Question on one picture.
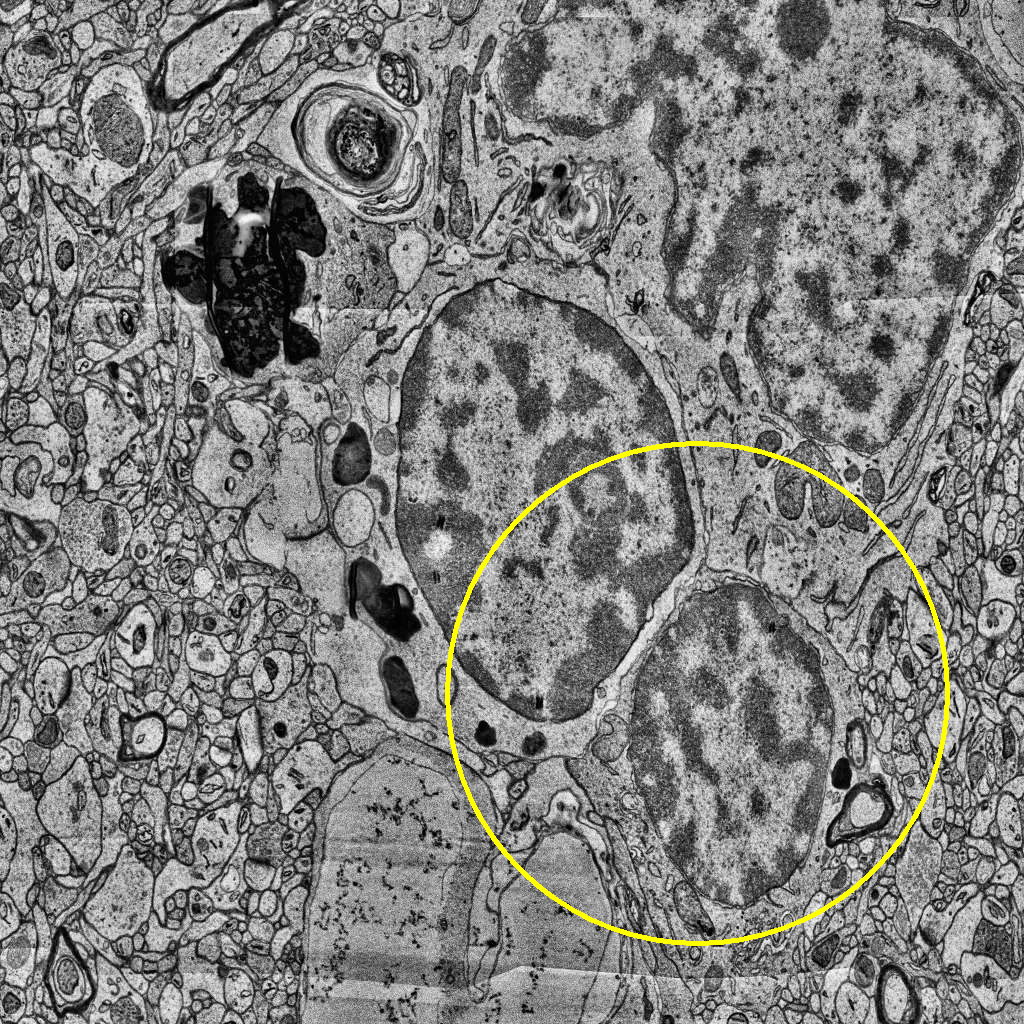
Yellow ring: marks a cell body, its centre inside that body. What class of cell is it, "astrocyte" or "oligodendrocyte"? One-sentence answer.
This is an oligodendrocyte, the cell at the ring's centre.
